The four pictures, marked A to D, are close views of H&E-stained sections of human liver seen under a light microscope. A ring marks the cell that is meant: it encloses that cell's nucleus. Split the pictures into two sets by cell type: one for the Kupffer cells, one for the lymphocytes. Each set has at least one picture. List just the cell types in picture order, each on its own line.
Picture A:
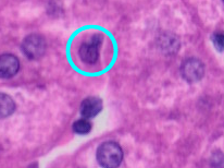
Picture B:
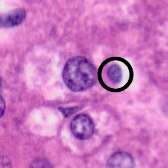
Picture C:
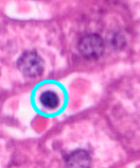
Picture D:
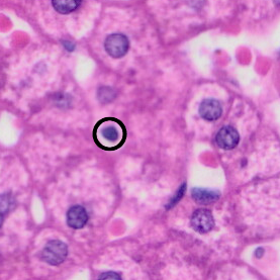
Kupffer cell
lymphocyte
lymphocyte
lymphocyte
